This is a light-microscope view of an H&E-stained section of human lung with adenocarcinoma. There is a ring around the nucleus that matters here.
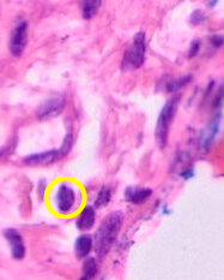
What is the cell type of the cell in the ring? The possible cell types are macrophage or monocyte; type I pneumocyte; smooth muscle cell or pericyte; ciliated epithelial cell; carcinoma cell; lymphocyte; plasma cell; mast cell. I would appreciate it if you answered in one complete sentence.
In this section, the cell in the ring is a lymphocyte.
